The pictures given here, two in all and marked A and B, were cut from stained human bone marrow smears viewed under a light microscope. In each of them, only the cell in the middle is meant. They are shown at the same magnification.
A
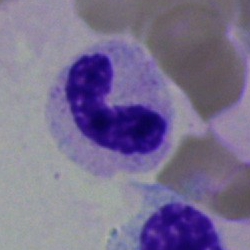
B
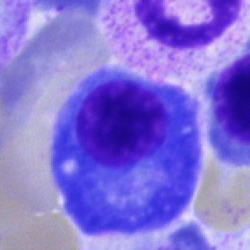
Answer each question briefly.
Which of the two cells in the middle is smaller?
A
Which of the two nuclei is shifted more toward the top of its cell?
B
